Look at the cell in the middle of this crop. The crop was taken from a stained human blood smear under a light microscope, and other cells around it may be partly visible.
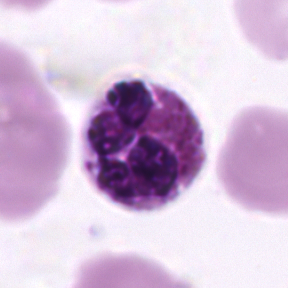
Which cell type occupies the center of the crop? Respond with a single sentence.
What the crop centres on is an eosinophil.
